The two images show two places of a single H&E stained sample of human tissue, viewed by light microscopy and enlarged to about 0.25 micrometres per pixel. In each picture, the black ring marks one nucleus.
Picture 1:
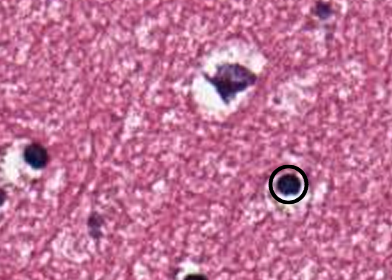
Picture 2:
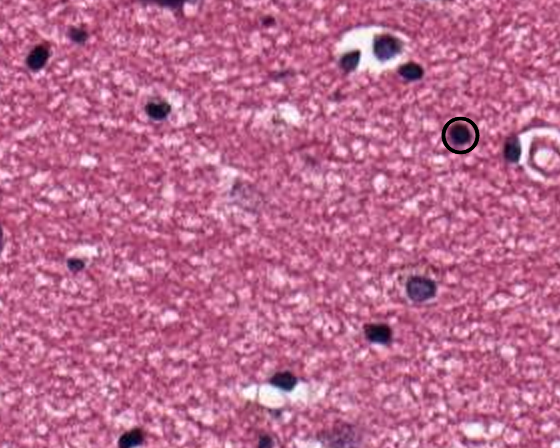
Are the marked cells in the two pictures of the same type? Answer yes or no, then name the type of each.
Yes, both are oligodendrocytes.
